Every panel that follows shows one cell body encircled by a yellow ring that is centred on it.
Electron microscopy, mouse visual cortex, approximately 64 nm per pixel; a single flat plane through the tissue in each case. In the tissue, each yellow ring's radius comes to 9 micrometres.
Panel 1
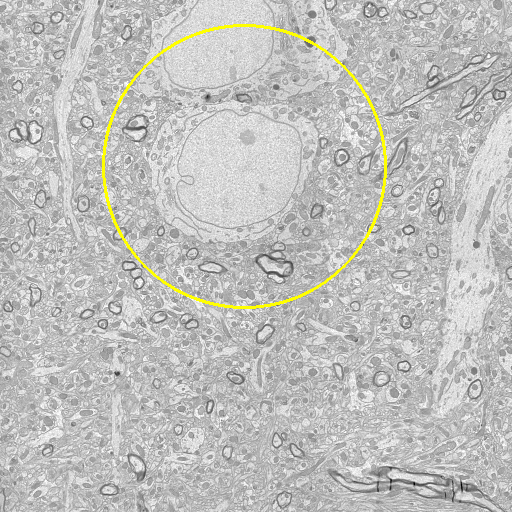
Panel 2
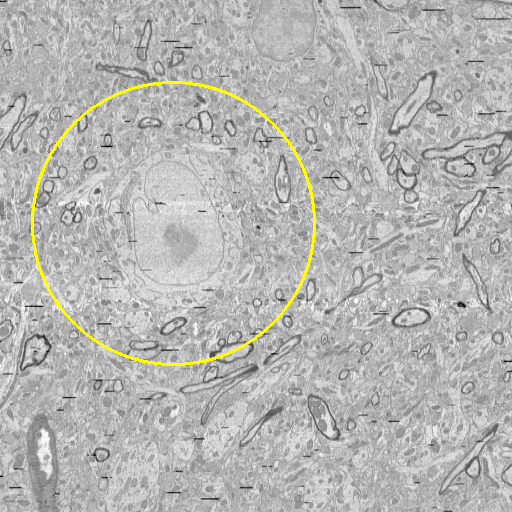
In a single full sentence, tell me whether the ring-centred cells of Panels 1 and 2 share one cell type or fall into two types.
In Panel 1 and Panel 2, the cells at the ring centres share one cell type.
